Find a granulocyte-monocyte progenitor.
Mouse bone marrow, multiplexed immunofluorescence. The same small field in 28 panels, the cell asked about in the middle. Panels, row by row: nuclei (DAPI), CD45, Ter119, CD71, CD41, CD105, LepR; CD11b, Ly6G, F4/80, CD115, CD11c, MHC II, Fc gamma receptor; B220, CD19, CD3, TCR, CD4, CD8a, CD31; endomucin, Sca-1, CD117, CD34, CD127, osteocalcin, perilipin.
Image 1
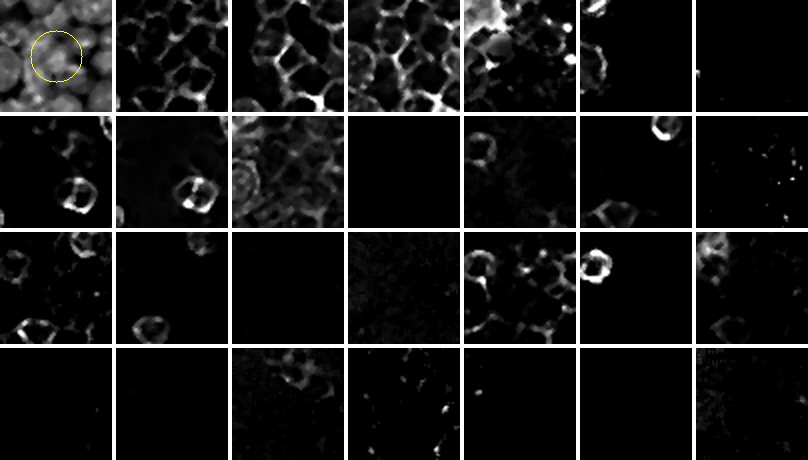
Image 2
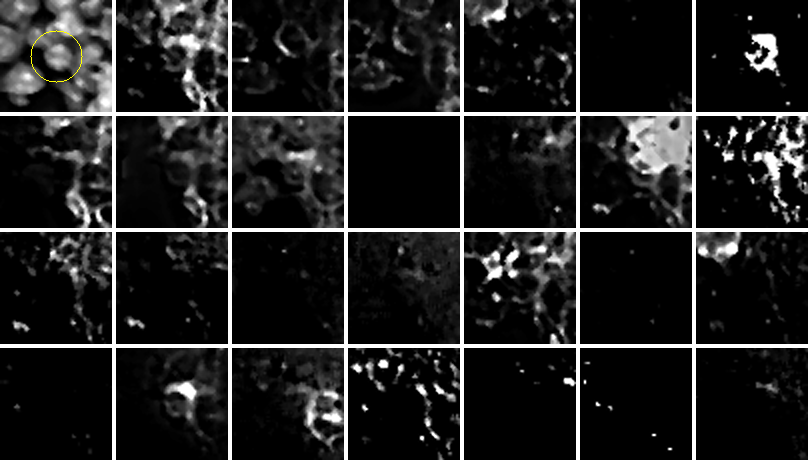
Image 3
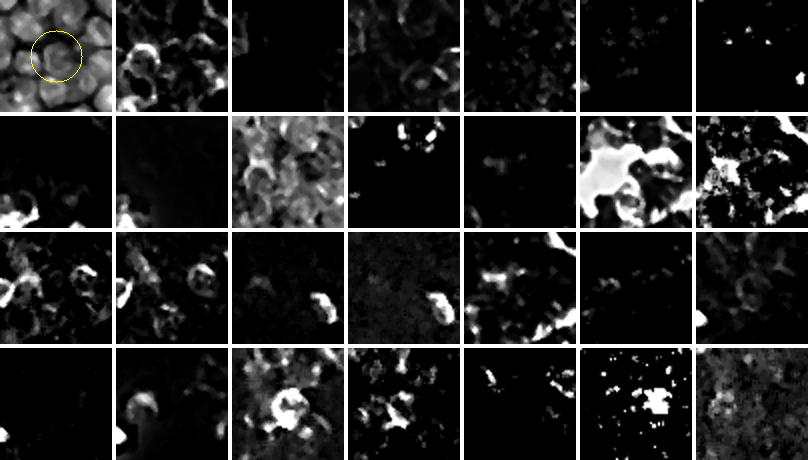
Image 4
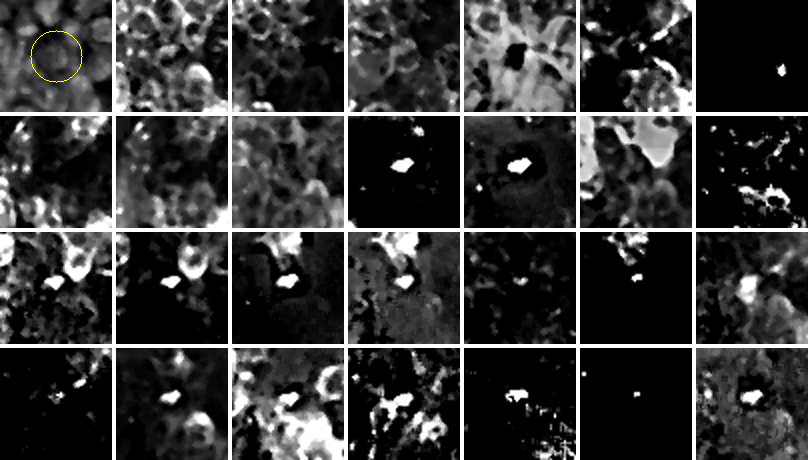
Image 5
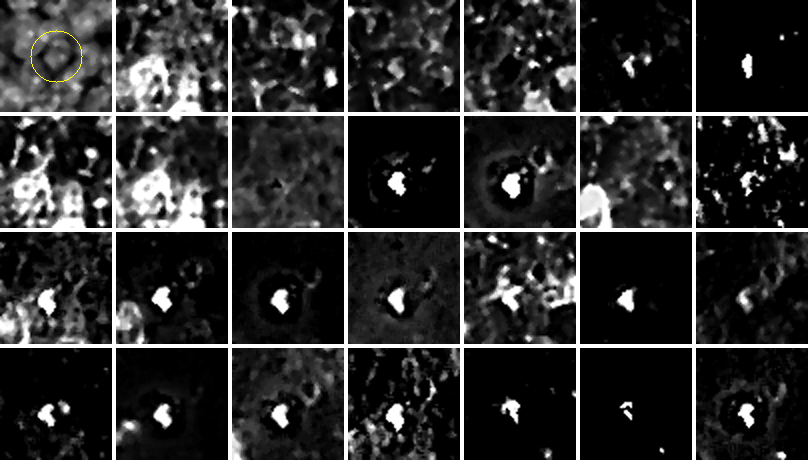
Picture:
3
